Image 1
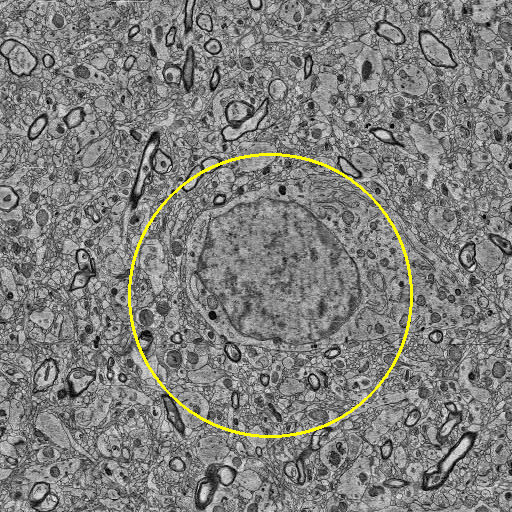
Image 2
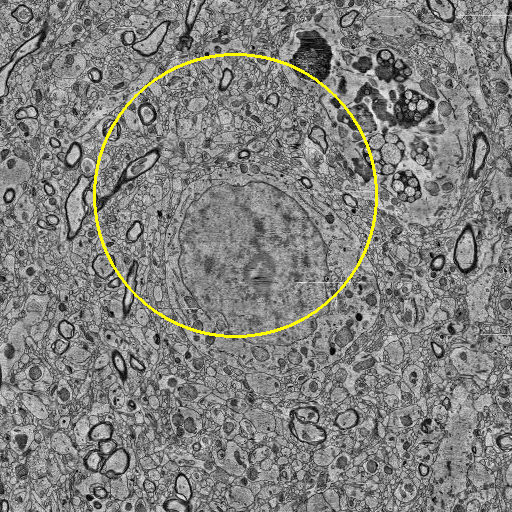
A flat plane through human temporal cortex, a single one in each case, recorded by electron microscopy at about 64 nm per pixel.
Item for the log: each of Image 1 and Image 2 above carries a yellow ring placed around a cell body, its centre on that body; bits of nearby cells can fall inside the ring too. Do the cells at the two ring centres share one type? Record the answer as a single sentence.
Yes, the two cells at the ring centres in Image 1 and Image 2 share one type.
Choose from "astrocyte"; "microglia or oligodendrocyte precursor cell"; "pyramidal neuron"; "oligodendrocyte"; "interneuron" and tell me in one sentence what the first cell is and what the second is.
Each of the two pictures has an interneuron at the ring centre.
